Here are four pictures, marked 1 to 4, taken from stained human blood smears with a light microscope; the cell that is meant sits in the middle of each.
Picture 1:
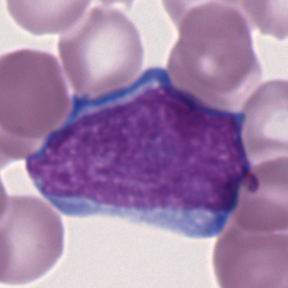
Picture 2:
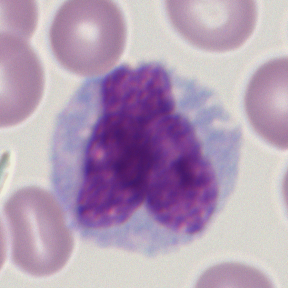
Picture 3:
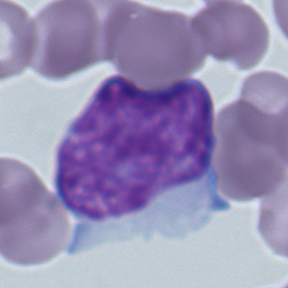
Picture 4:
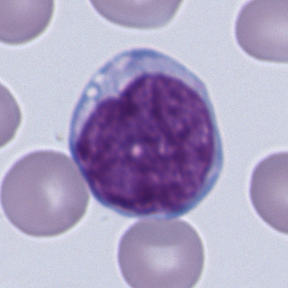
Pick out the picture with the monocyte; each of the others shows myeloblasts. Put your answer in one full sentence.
The picture with the monocyte is 2.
